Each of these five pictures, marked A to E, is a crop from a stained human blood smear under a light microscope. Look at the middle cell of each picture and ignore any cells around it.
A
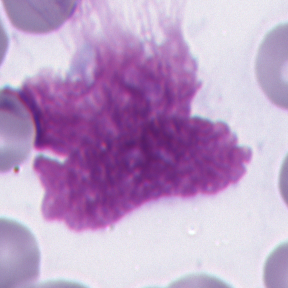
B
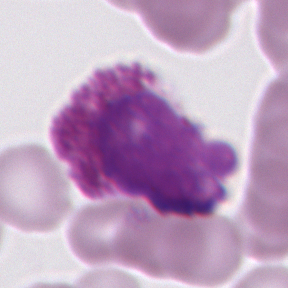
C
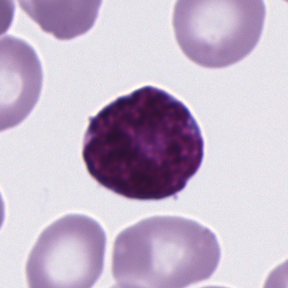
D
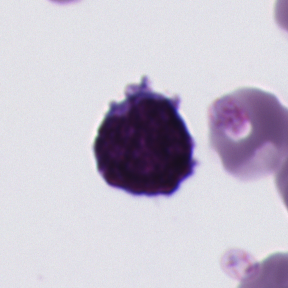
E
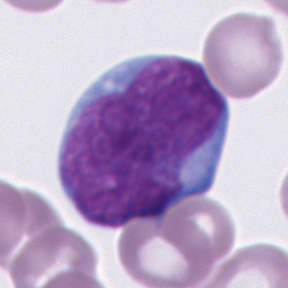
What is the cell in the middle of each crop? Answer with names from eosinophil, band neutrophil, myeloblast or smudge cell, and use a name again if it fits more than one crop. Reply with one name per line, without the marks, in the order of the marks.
smudge cell
eosinophil
myeloblast
myeloblast
myeloblast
